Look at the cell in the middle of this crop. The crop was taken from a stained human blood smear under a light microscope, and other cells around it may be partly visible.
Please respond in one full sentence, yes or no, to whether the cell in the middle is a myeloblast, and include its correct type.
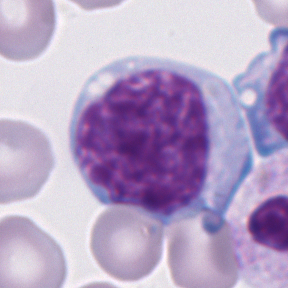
Yes, the cell centred in the field of view is a myeloblast.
